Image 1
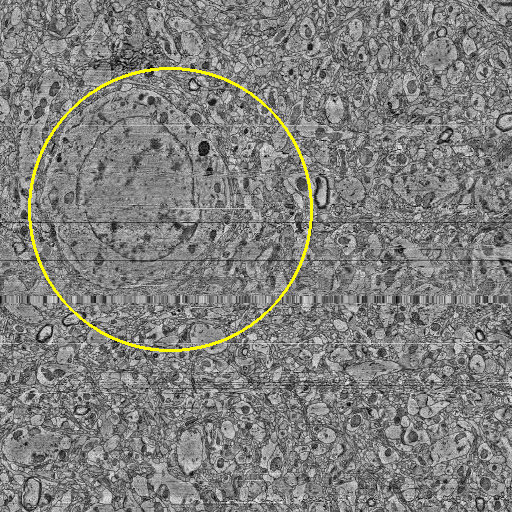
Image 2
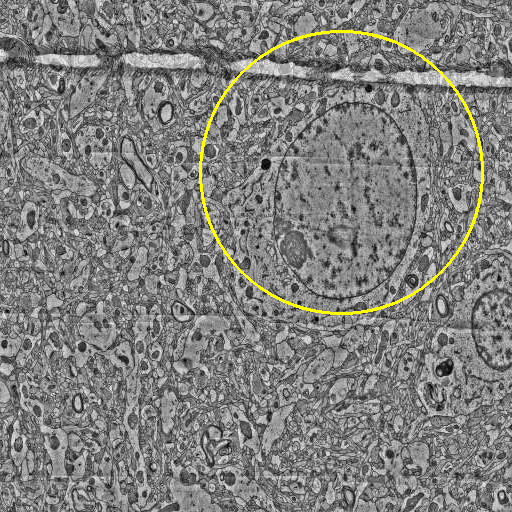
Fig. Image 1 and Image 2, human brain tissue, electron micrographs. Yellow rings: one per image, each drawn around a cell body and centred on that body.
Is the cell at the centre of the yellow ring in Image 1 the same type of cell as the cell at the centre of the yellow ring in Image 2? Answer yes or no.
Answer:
yes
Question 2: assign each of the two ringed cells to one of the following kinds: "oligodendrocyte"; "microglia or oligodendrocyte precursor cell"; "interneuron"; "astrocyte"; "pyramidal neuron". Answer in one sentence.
Both the first and the second picture show a pyramidal neuron in the ring.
